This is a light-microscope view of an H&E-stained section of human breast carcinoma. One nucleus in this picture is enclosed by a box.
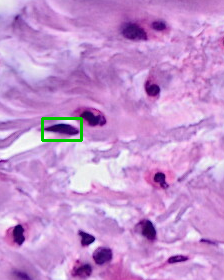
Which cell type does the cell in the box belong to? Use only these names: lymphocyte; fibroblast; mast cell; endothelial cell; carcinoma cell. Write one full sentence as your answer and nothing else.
By its classification, the cell in the box is a fibroblast.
